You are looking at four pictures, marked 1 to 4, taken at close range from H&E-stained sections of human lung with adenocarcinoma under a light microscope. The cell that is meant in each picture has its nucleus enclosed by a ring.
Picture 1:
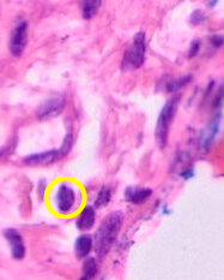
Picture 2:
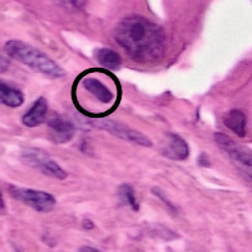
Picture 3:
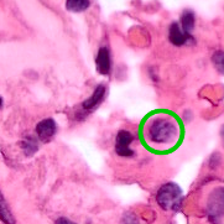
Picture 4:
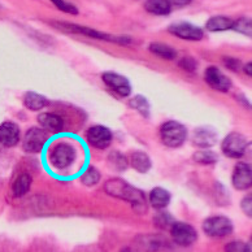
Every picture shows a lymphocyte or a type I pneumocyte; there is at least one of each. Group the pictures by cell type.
1: lymphocyte
2: lymphocyte
3: type I pneumocyte
4: lymphocyte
